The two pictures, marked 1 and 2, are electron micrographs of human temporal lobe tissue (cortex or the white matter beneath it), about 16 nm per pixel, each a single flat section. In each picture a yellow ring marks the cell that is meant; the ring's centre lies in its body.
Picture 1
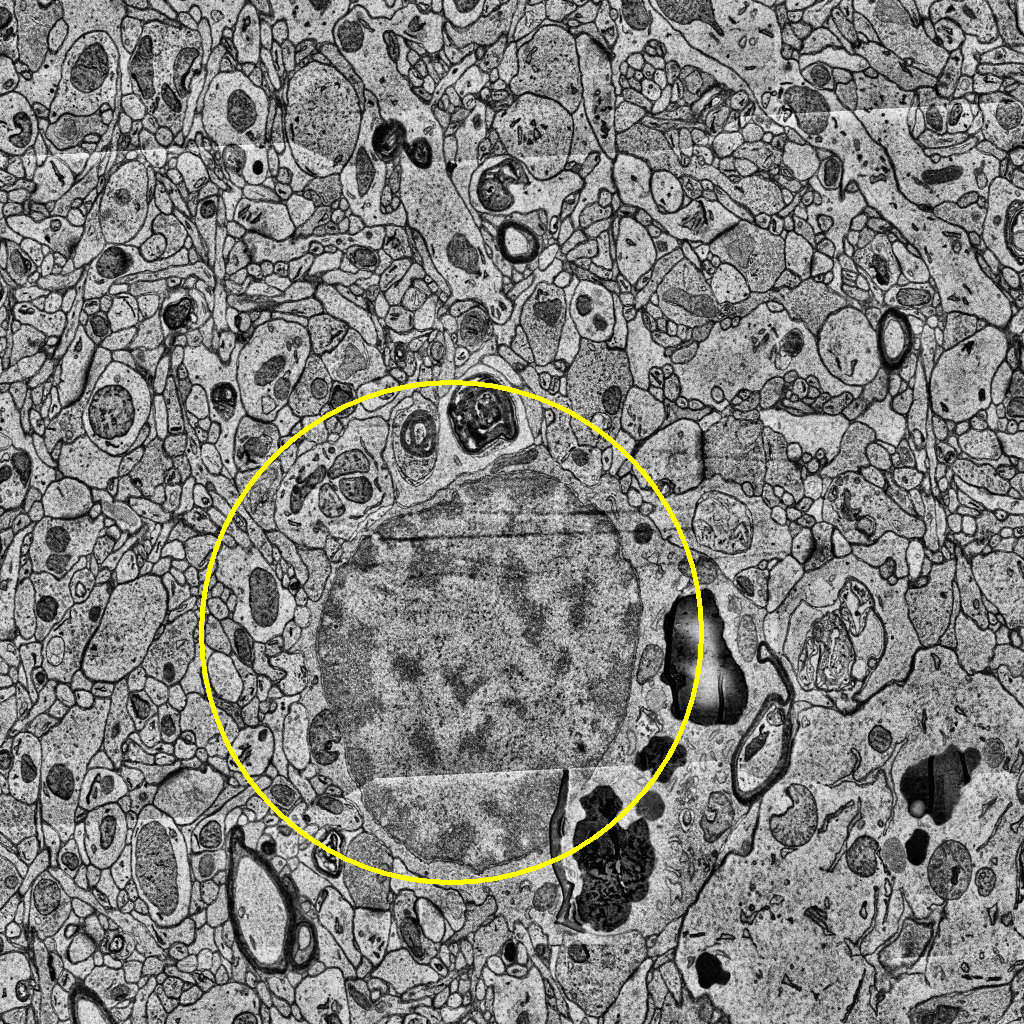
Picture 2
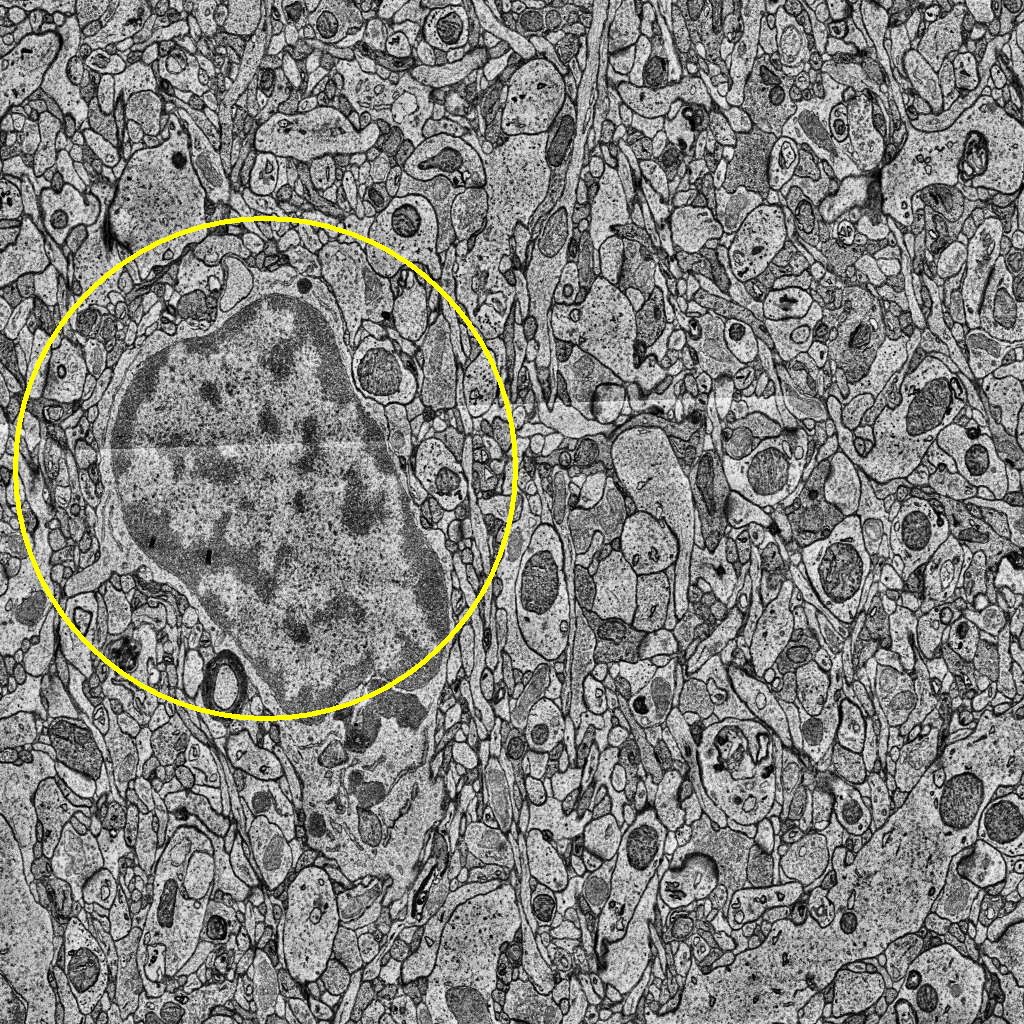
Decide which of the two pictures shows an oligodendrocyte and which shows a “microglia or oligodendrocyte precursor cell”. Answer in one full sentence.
It is picture 1 that shows an oligodendrocyte, and picture 2 that shows a “microglia or oligodendrocyte precursor cell”.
